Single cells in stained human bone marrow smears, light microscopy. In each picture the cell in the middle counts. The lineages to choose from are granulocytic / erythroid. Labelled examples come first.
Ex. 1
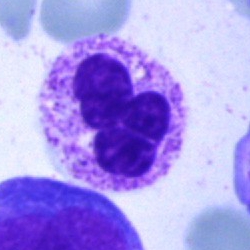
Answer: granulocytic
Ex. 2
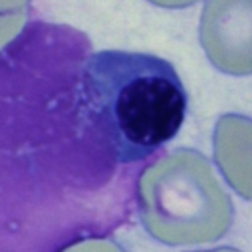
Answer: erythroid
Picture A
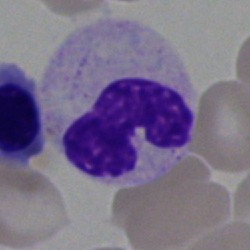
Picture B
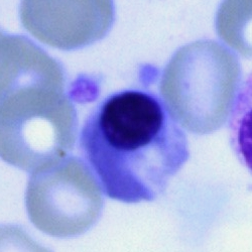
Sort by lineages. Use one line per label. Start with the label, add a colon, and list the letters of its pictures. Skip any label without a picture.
granulocytic: A
erythroid: B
